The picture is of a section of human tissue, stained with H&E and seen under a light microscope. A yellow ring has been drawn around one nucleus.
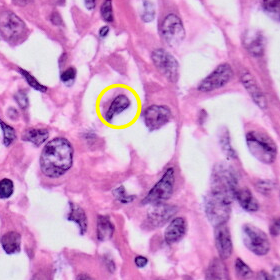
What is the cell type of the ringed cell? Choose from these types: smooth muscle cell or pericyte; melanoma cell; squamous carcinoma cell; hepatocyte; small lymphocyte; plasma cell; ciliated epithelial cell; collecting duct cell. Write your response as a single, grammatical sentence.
As far as its identity is concerned, the ringed cell is a melanoma cell.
